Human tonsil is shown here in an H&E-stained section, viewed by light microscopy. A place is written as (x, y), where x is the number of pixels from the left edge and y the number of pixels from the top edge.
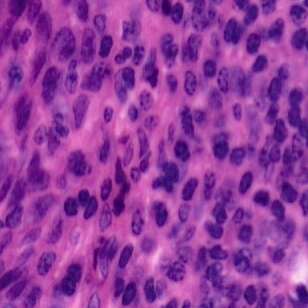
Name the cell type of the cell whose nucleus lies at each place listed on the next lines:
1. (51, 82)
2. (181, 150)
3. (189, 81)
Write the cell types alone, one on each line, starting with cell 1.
squamous epithelial cell
plasma cell
plasma cell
